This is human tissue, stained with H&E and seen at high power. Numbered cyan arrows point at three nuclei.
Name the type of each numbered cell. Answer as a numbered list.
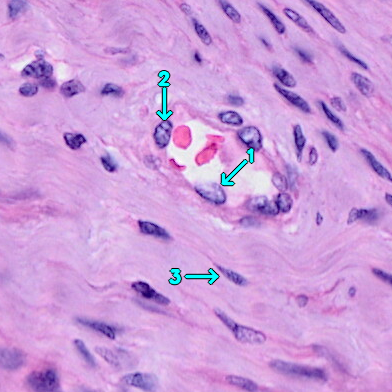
1. endothelial cell
2. endothelial cell
3. fibroblast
